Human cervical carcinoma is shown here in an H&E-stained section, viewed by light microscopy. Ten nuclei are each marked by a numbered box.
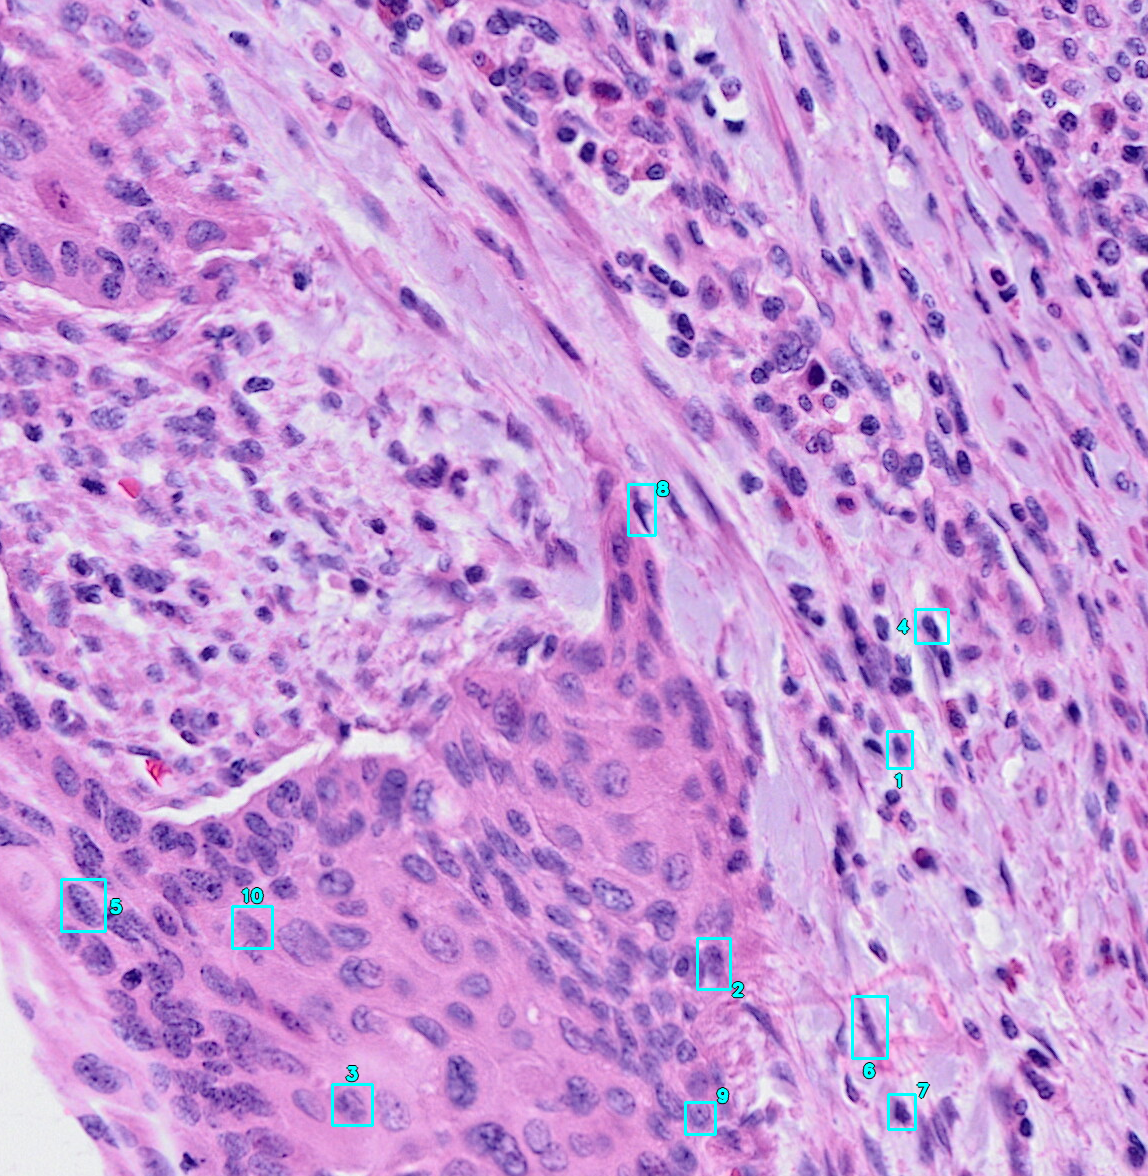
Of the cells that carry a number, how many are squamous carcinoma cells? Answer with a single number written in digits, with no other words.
5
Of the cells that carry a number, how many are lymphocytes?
4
